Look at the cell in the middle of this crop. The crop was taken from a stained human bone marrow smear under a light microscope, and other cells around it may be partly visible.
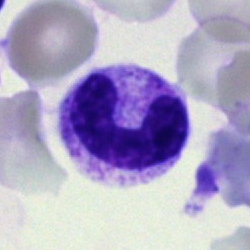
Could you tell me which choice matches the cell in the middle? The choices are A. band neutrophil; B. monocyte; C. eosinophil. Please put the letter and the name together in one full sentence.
At the centre of the crop lies a band neutrophil, which makes option A correct.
